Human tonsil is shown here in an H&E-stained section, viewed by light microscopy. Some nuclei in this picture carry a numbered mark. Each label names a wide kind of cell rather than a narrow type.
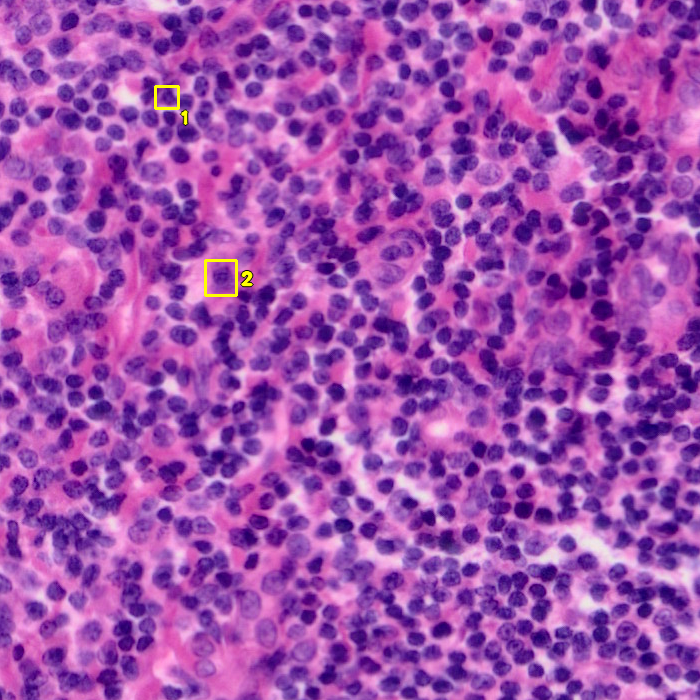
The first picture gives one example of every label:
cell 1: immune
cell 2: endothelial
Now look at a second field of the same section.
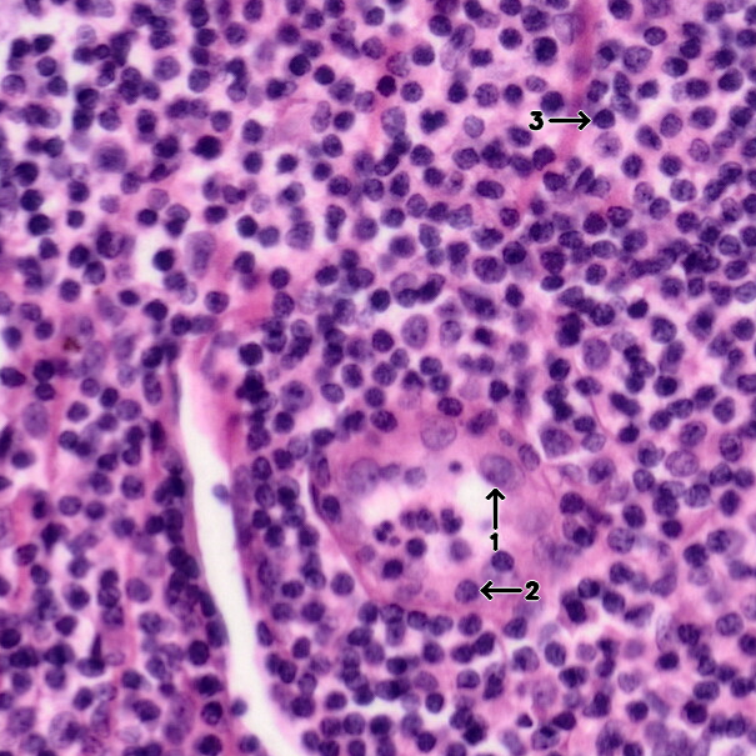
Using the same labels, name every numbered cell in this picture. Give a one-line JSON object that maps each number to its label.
{"1": "endothelial", "2": "endothelial", "3": "immune"}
